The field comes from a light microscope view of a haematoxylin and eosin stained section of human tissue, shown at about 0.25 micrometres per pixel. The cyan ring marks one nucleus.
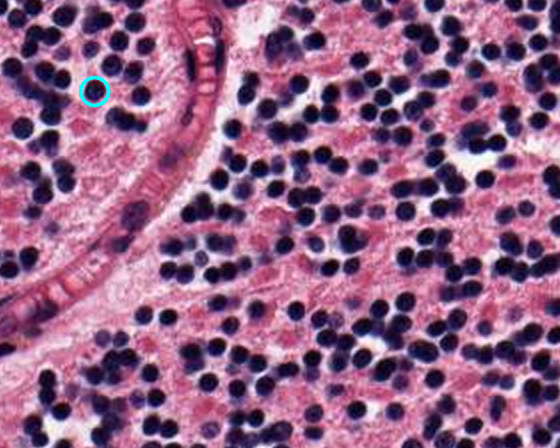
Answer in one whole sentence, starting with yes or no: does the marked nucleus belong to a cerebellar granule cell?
Yes, within this field the marked nucleus is that of a cerebellar granule cell.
